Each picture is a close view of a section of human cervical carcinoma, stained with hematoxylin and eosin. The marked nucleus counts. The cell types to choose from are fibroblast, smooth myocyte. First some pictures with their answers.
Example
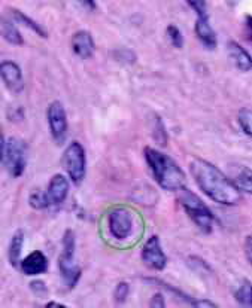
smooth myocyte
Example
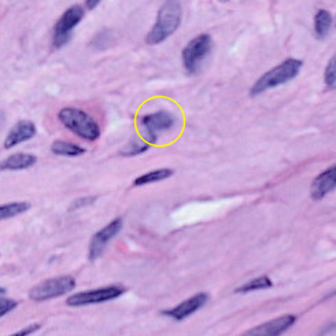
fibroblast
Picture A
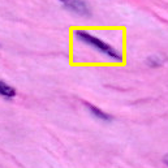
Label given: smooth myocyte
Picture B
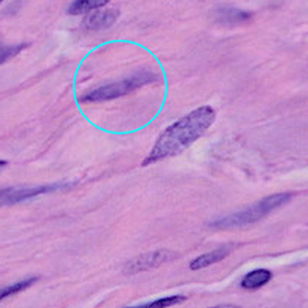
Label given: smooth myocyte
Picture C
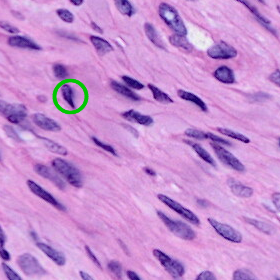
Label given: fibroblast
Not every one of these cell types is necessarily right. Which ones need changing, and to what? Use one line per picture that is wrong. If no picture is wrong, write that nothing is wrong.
A: change smooth myocyte to fibroblast
B: change smooth myocyte to fibroblast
